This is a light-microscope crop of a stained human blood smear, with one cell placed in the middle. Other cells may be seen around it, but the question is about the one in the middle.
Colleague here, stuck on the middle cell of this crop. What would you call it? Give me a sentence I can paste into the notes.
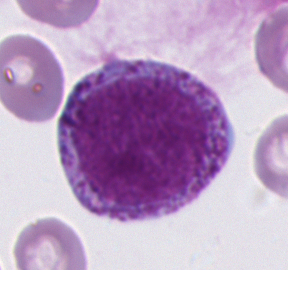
At the center of the crop sits a promyelocyte.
